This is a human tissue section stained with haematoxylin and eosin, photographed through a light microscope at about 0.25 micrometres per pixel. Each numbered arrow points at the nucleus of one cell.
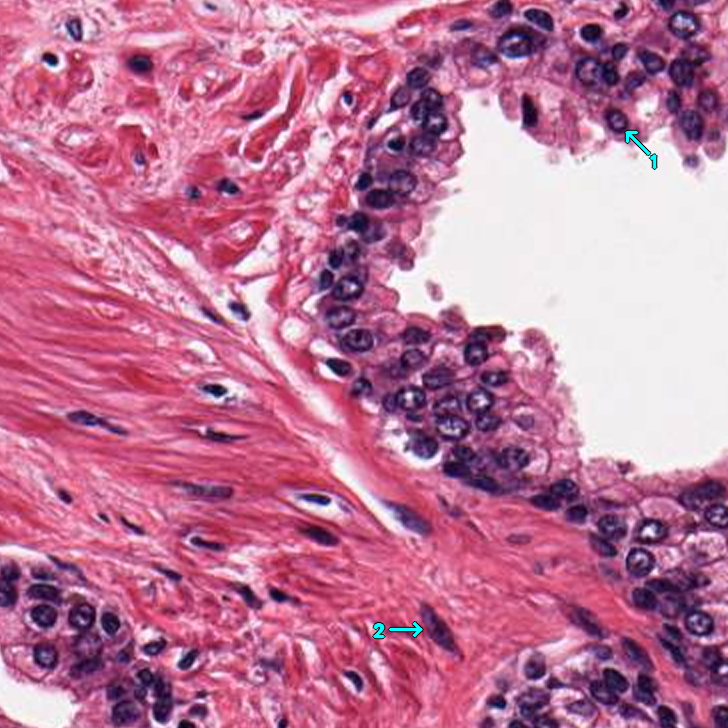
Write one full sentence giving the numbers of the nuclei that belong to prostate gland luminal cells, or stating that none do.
The numbered nucleus found within a prostate gland luminal cell is nucleus 1, and it is the only one.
